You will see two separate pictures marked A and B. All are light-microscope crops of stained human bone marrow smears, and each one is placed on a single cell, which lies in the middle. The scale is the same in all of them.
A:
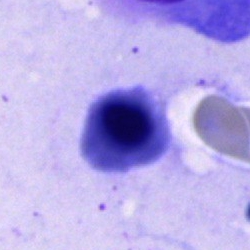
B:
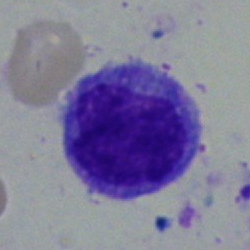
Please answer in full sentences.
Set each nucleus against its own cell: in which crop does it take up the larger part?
The nucleus fills more of the cell in crop B than in crop A.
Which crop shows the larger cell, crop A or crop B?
It is the cell in crop B, about 2.5 times as large in area as the cell in crop A.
